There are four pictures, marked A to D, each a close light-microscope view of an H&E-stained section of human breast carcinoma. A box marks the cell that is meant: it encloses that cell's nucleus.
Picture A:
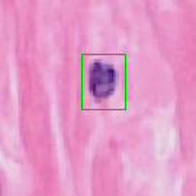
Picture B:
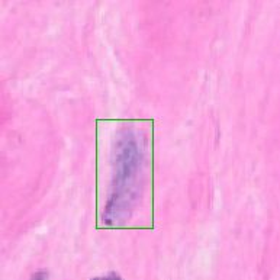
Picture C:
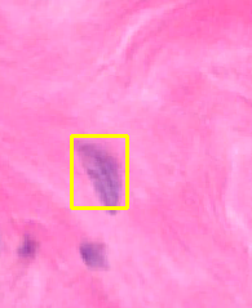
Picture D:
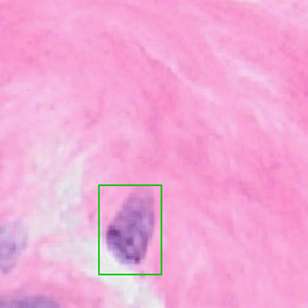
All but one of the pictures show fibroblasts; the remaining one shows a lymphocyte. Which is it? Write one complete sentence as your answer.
It is picture A that shows the lymphocyte.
